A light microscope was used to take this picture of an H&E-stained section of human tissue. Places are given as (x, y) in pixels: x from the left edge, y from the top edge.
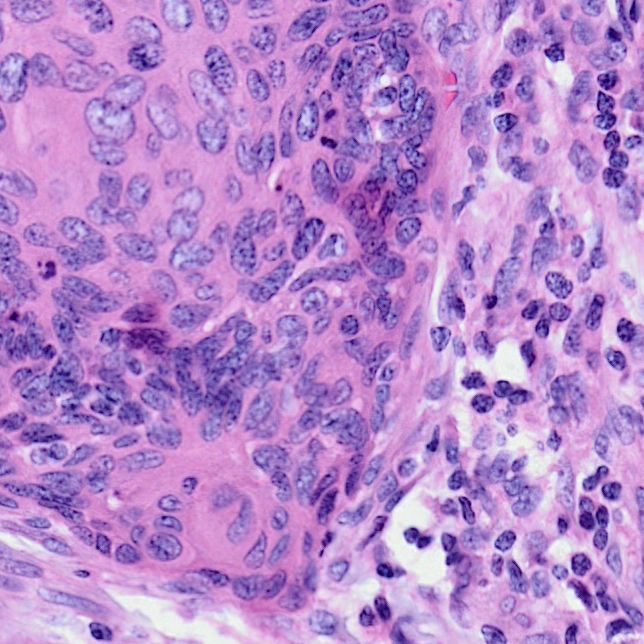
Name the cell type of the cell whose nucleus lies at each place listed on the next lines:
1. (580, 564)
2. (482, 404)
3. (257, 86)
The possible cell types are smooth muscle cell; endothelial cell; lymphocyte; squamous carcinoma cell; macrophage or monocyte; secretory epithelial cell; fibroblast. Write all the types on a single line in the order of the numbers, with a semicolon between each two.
lymphocyte; lymphocyte; squamous carcinoma cell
